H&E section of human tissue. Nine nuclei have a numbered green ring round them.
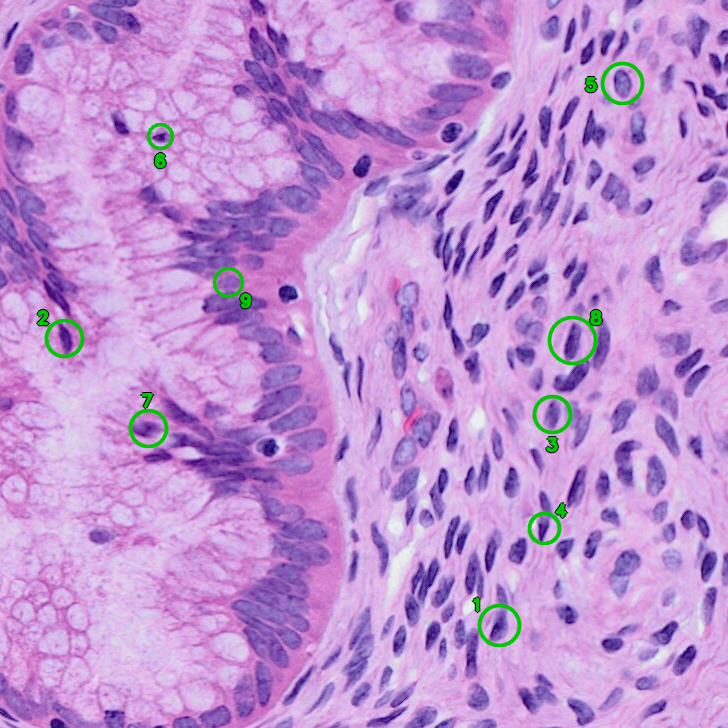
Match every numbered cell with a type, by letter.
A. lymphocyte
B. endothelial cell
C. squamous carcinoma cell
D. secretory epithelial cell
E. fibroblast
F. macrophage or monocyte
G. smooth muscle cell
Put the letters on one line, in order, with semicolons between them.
E; D; E; E; G; D; D; E; D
